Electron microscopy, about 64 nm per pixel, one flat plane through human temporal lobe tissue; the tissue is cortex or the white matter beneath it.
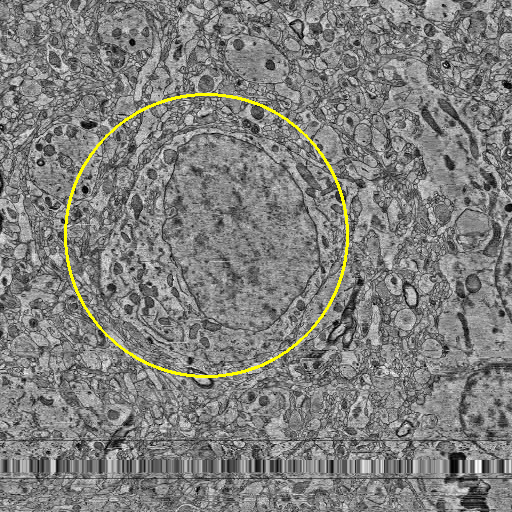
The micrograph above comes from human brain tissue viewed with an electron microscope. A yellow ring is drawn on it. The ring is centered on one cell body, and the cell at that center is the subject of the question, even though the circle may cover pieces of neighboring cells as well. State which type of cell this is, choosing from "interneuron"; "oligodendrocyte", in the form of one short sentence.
The cell the ring is centered on is an interneuron.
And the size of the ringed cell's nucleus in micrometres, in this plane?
About 13 by 9 micrometers for the nucleus, in this plane.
